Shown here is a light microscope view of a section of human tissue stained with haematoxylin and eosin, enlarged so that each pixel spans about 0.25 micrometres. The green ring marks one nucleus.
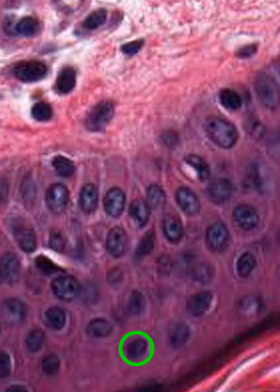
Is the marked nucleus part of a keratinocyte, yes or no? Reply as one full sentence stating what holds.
Yes, the nucleus marked in the image belongs to a keratinocyte.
